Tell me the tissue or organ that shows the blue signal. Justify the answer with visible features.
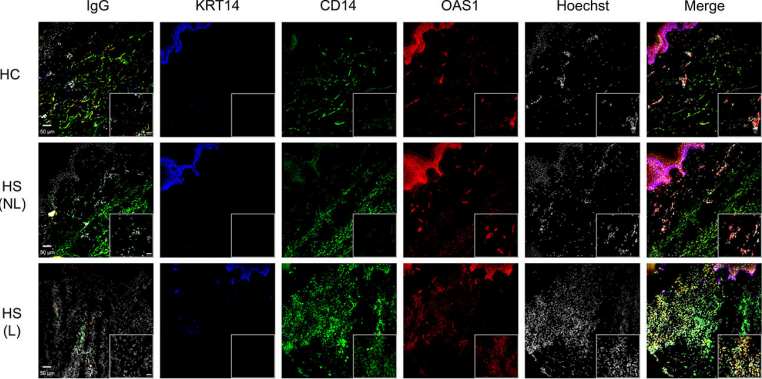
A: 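The blue signal forms a continuous band along one edge of the tissue. The blue band has an undulating border, lying at the surface of the section.
Conclusion: epidermis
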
